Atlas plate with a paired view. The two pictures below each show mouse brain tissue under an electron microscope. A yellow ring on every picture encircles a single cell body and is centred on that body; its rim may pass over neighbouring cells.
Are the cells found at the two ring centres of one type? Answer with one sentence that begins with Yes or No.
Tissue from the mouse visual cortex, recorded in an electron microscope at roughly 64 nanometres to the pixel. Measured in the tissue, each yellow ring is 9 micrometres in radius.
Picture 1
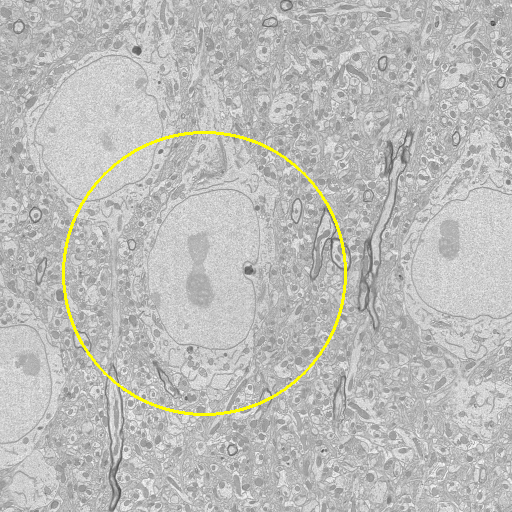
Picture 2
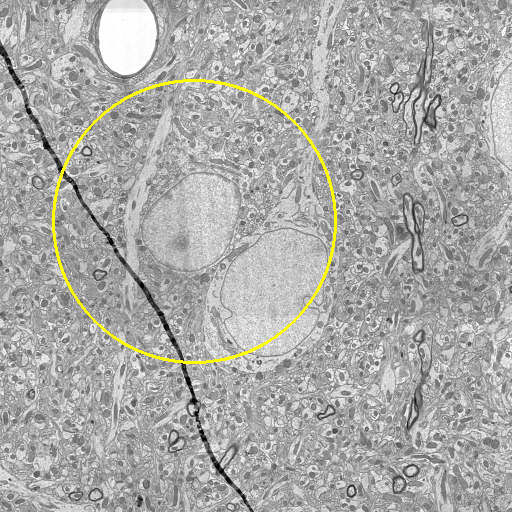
No, the two cells lying at the centres of the rings are of two types.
